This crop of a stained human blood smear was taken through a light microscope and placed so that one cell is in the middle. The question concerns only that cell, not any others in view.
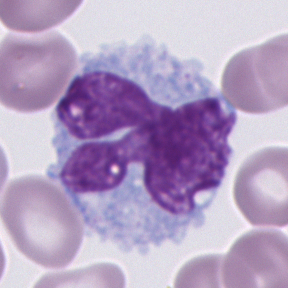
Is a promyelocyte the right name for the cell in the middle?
no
